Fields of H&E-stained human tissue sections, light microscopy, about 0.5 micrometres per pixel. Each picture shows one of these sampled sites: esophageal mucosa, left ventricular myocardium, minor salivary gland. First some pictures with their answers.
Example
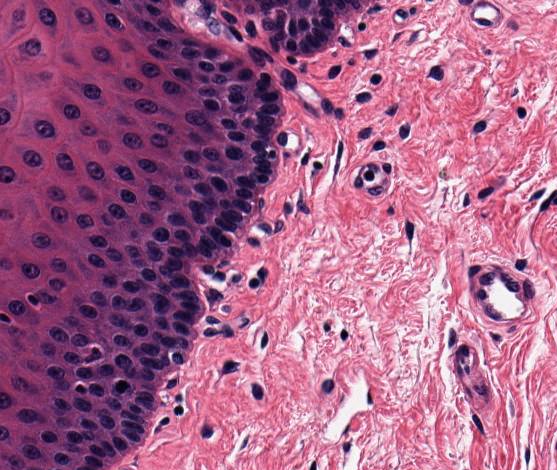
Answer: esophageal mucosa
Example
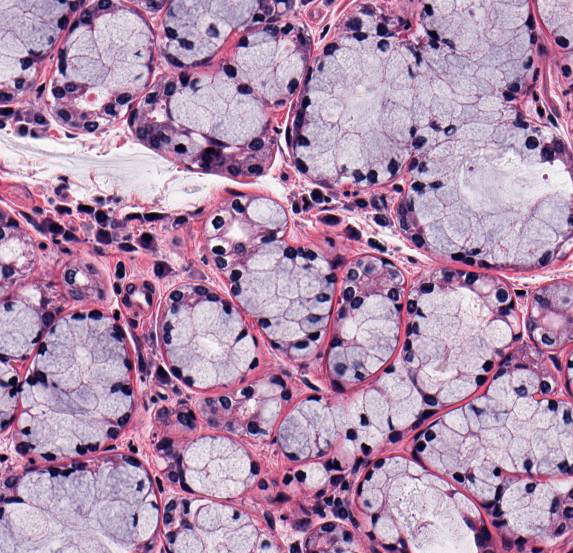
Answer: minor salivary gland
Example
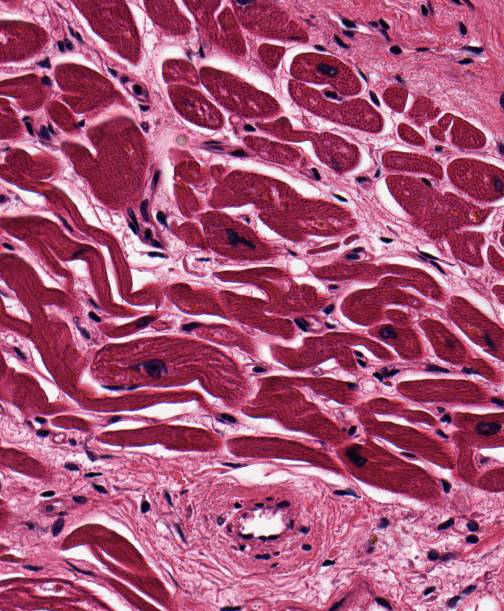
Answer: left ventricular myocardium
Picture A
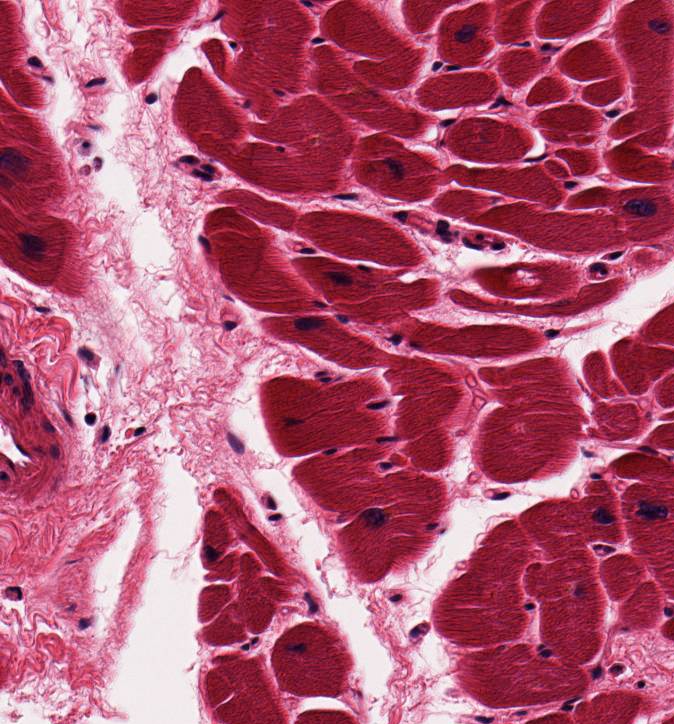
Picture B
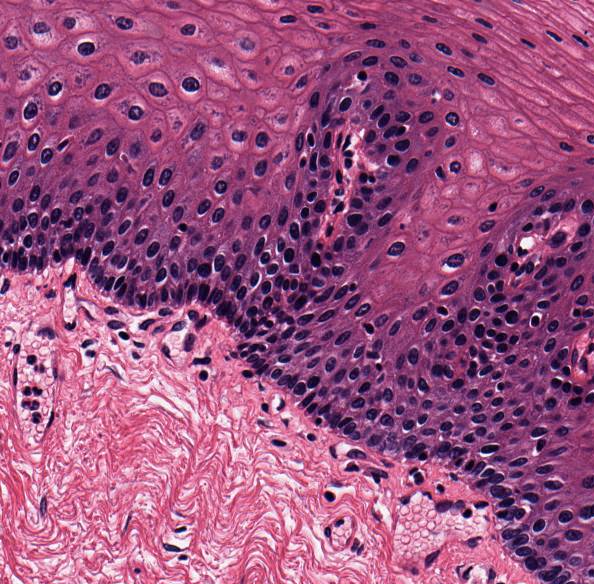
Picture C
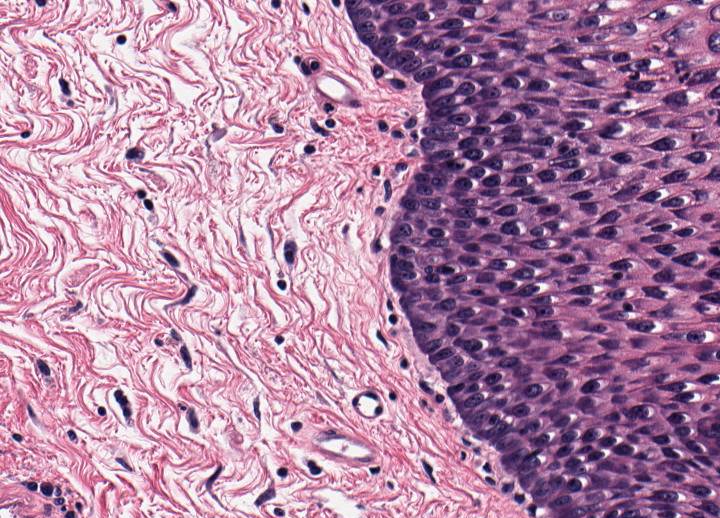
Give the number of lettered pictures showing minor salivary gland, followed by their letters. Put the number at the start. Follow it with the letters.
0, none of them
